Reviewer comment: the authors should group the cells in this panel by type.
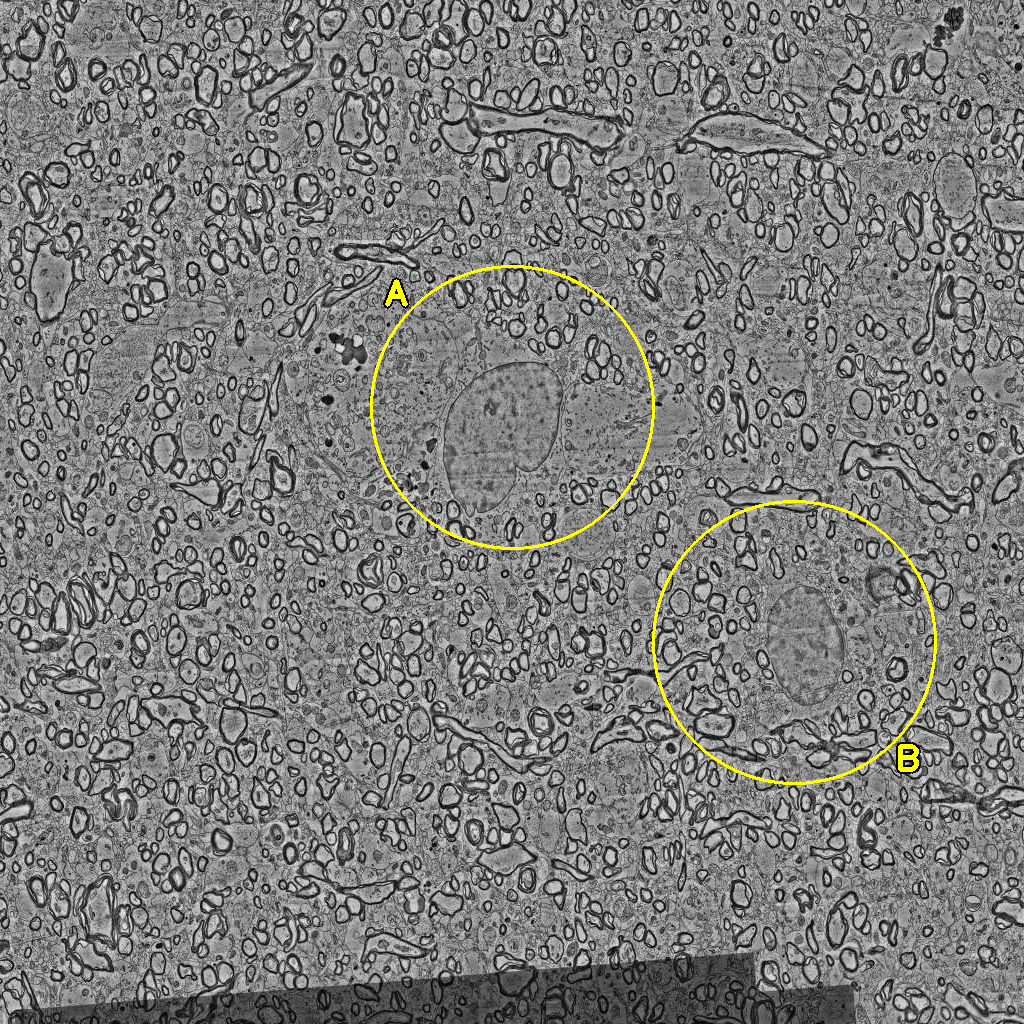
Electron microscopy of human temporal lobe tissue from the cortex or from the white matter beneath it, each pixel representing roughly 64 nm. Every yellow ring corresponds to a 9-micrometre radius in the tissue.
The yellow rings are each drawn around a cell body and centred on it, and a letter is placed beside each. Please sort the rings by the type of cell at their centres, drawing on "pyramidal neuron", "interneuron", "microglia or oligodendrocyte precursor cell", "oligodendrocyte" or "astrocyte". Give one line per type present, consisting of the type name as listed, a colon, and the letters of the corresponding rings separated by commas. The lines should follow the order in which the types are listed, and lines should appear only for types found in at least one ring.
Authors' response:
microglia or oligodendrocyte precursor cell: A
oligodendrocyte: B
